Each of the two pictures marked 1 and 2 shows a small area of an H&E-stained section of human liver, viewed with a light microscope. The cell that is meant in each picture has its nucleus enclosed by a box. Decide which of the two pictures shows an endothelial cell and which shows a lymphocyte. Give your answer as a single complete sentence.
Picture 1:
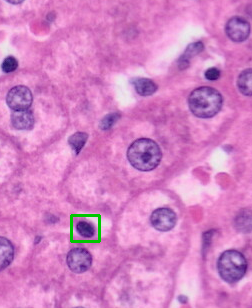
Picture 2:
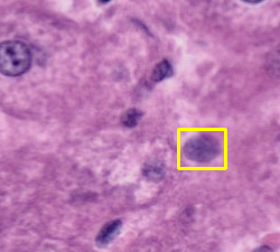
Picture 1 shows a lymphocyte and picture 2 shows an endothelial cell.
